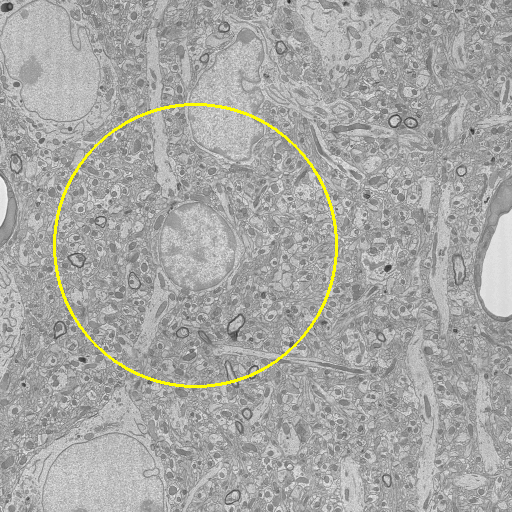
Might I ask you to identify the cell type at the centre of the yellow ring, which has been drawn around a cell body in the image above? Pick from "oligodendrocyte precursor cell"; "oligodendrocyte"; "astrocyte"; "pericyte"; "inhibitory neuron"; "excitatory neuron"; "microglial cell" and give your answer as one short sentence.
The centre of the ring falls on an oligodendrocyte.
